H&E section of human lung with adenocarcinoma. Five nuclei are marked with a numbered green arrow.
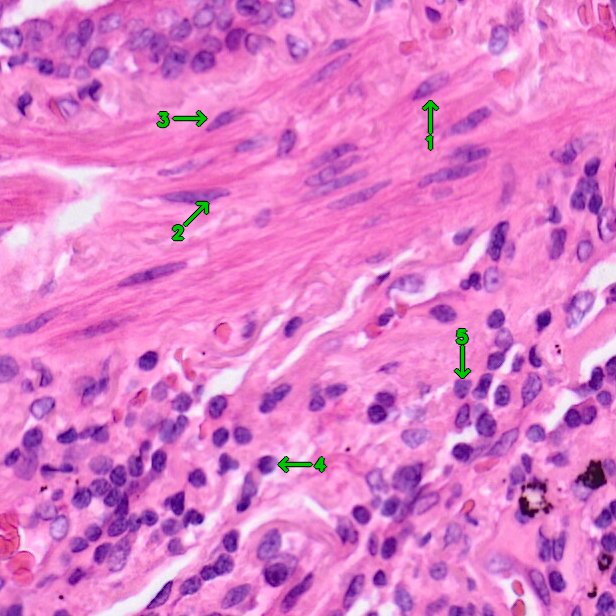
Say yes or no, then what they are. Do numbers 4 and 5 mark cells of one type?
Yes, both are lymphocytes.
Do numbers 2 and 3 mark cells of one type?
Yes, both are smooth muscle cells or pericytes.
